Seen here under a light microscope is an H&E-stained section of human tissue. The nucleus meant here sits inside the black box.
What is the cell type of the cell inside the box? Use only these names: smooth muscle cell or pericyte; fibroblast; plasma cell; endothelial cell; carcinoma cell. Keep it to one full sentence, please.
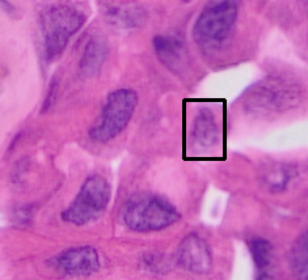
The category to which the cell inside the box belongs is that of a carcinoma cell.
